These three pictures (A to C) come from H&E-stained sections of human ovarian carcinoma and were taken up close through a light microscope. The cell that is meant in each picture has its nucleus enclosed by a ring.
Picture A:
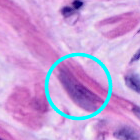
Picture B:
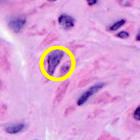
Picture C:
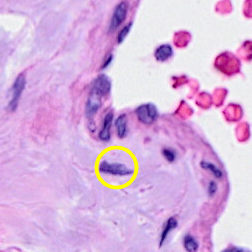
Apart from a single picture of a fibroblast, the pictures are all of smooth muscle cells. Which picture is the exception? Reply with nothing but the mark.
C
